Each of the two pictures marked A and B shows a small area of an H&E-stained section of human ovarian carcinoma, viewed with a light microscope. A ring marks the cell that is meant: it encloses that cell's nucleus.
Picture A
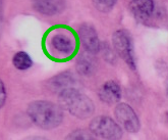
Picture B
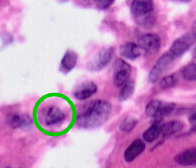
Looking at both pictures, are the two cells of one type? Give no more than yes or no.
yes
